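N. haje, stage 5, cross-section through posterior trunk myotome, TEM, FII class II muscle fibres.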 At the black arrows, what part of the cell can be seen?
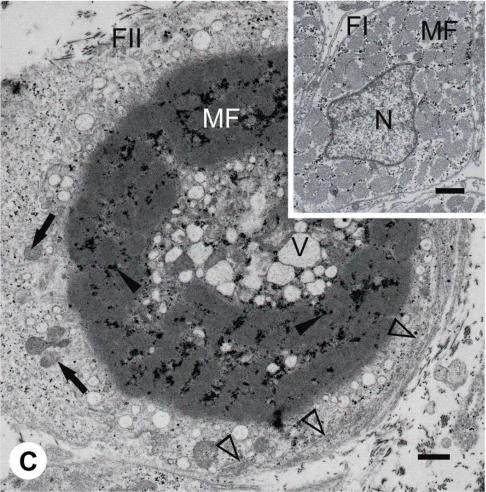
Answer: Mitochondria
